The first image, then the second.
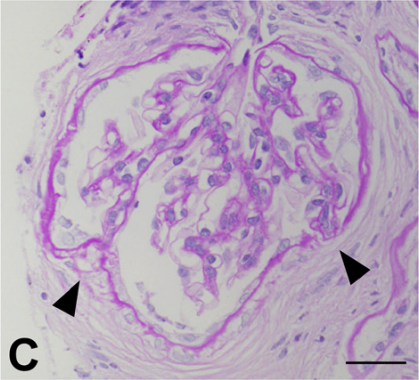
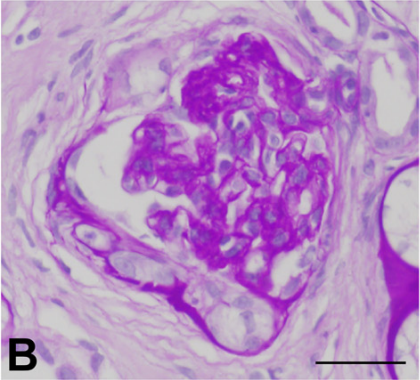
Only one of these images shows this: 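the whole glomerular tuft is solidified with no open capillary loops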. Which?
The second image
